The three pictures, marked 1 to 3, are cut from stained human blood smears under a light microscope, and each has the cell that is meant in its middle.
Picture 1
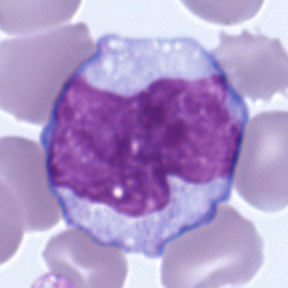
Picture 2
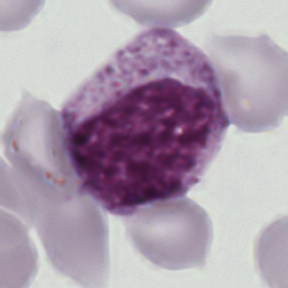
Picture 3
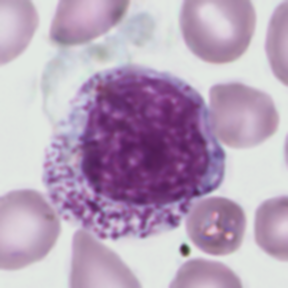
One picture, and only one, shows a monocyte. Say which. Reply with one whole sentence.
The monocyte is the one in picture 1.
